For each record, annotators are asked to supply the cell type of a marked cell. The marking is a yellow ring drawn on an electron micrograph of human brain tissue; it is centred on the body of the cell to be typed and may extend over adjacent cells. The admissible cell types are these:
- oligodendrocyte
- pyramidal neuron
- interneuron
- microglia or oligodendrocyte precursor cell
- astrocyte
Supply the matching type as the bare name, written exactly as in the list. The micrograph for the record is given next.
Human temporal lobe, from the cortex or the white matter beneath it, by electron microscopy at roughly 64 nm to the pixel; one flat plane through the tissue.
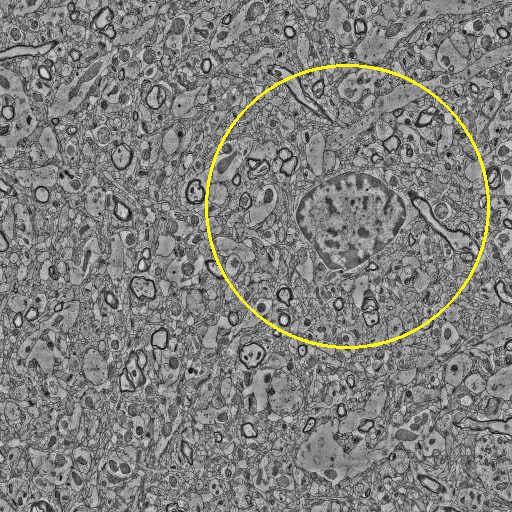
microglia or oligodendrocyte precursor cell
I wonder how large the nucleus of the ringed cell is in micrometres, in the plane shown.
The ringed cell's nucleus is about 6 micrometres across in this plane.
